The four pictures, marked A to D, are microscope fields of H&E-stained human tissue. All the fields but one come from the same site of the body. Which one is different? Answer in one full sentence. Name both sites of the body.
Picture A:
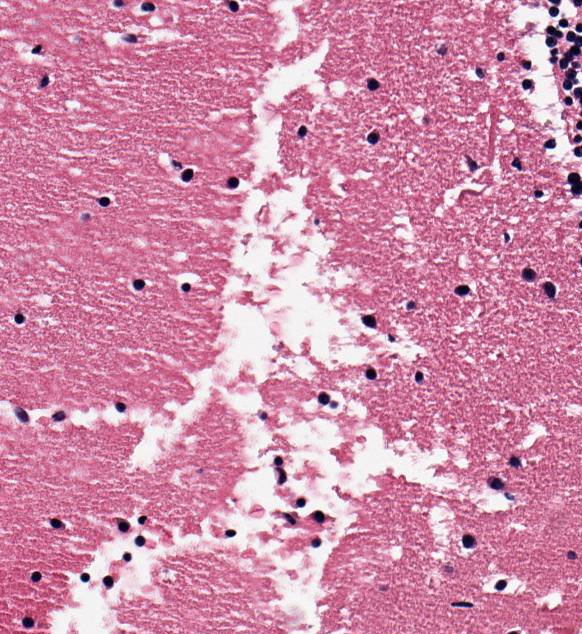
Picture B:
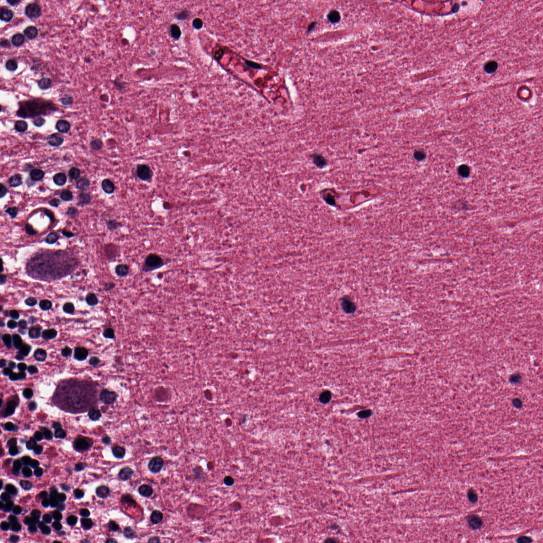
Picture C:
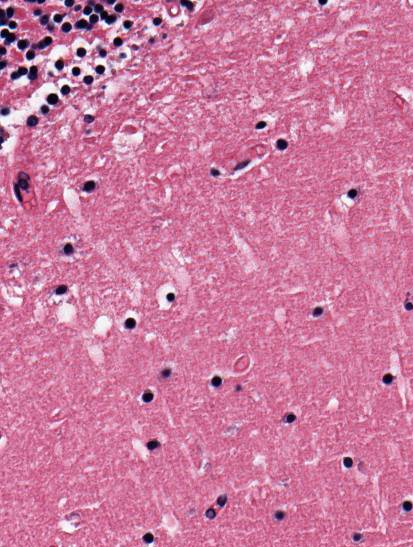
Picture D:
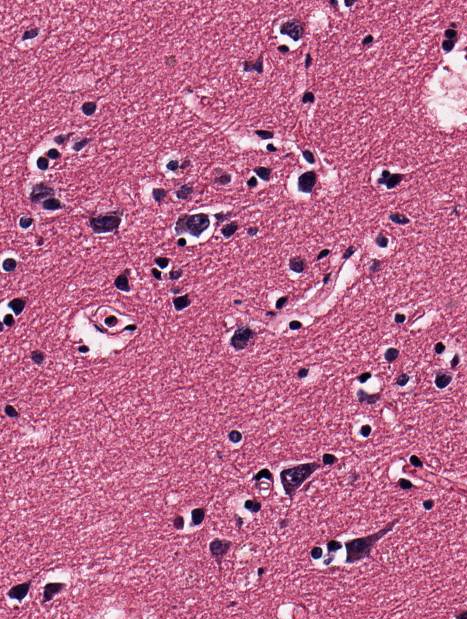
All pictures except D come from the cerebellum; picture D comes from the cerebral cortex.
